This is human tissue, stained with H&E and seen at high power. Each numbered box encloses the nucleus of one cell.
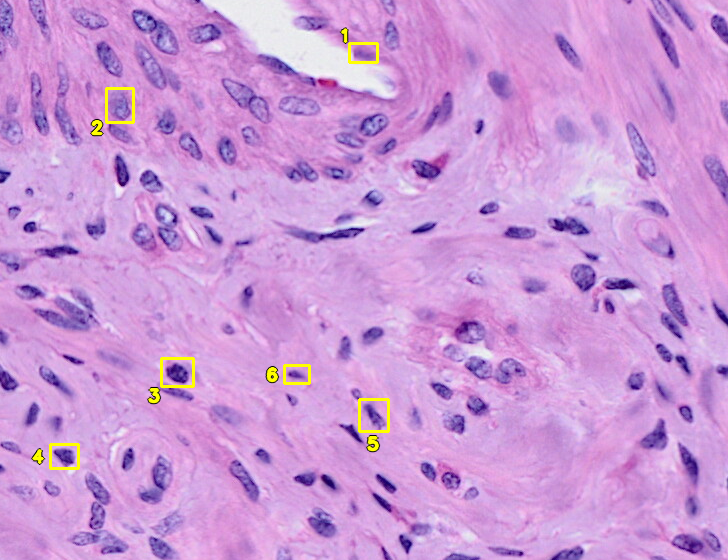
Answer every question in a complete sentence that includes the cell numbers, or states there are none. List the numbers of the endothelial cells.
Cell 1, and no other numbered cell, is an endothelial cell.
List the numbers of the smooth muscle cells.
Only the cell numbered 2 qualifies as a smooth muscle cell among the marked cells.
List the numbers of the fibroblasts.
The cells numbered 4, 5 and 6 fall into the category of fibroblasts.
